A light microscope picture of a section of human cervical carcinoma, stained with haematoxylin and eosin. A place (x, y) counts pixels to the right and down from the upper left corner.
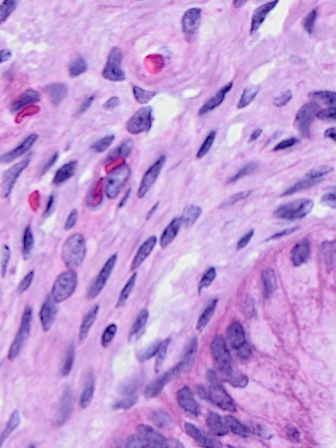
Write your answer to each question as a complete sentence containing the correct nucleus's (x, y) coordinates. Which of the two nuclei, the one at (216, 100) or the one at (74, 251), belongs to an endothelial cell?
The nucleus that belongs to an endothelial cell is located at (74, 251).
